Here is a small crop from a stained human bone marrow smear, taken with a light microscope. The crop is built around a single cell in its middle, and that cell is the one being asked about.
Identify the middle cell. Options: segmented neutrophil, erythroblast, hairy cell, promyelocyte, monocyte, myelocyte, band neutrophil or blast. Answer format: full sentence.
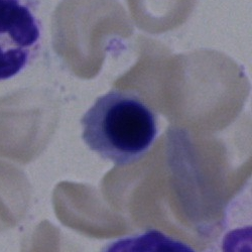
The crop centres on a single cell, and that cell is an erythroblast.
